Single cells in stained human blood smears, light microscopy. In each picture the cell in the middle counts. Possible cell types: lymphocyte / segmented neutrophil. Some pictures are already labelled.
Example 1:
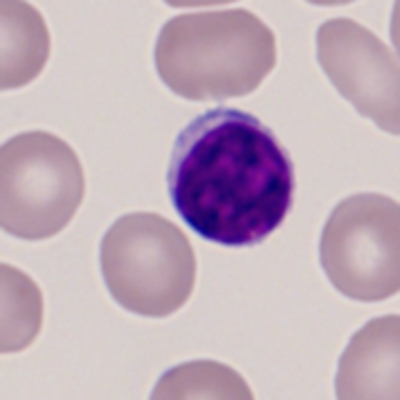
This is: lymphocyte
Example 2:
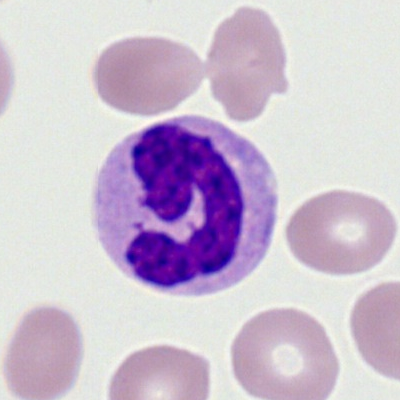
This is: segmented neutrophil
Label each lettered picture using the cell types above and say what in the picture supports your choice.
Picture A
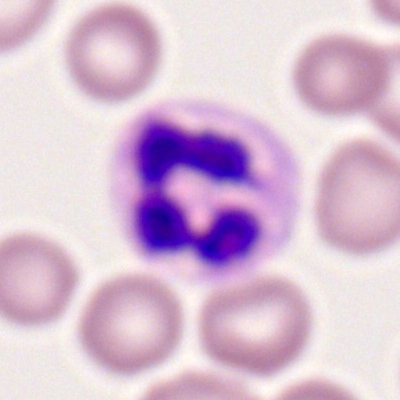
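segmented neutrophil: The cytoplasm is plentiful and pale pink-lilac.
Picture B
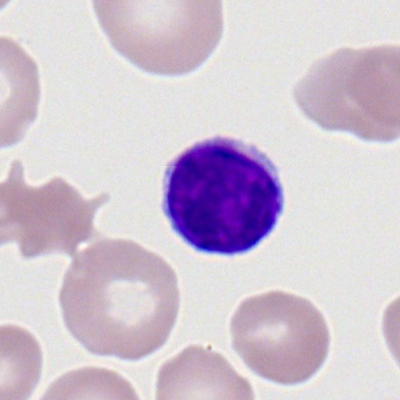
lymphocyte: Cytoplasm is scant, at most a very thin rim around the nucleus.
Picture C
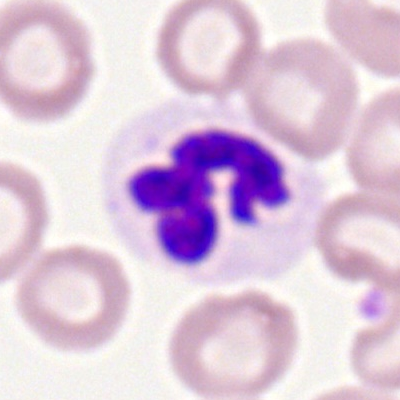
segmented neutrophil: The nucleus is divided into several lobes.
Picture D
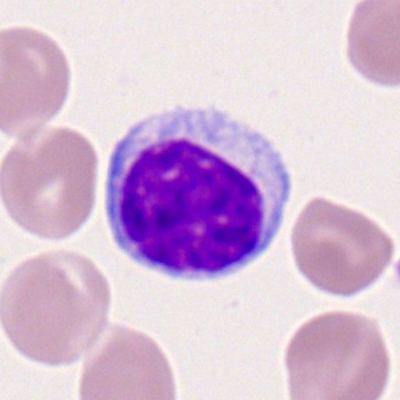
lymphocyte: The nucleus fills most of the cell.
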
